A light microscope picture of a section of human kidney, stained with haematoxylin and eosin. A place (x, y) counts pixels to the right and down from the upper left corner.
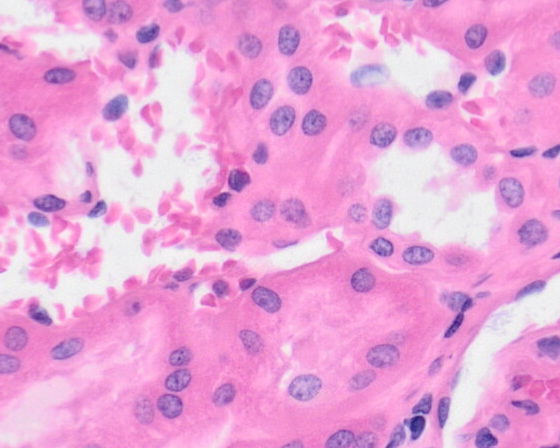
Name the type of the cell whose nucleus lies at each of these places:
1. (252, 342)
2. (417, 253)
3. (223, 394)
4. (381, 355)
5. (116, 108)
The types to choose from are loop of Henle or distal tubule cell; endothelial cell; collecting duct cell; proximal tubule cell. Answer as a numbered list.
1. proximal tubule cell
2. collecting duct cell
3. proximal tubule cell
4. proximal tubule cell
5. endothelial cell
